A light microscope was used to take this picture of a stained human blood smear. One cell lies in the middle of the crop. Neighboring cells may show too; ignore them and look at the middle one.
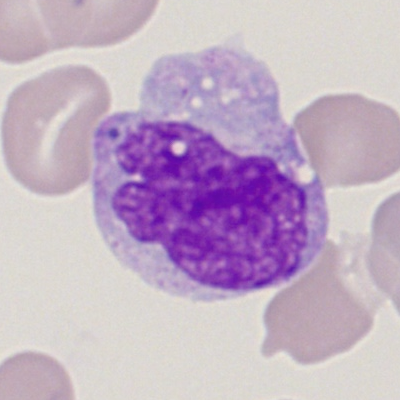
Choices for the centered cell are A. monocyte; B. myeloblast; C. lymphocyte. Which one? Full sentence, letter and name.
Here the central cell is a monocyte, and option A is correct.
